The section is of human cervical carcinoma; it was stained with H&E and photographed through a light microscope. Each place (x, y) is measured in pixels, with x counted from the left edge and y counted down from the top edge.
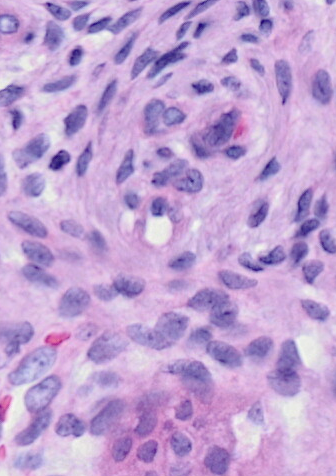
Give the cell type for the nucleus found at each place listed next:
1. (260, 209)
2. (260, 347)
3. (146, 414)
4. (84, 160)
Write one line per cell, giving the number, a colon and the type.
1: fibroblast
2: fibroblast
3: secretory epithelial cell
4: fibroblast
